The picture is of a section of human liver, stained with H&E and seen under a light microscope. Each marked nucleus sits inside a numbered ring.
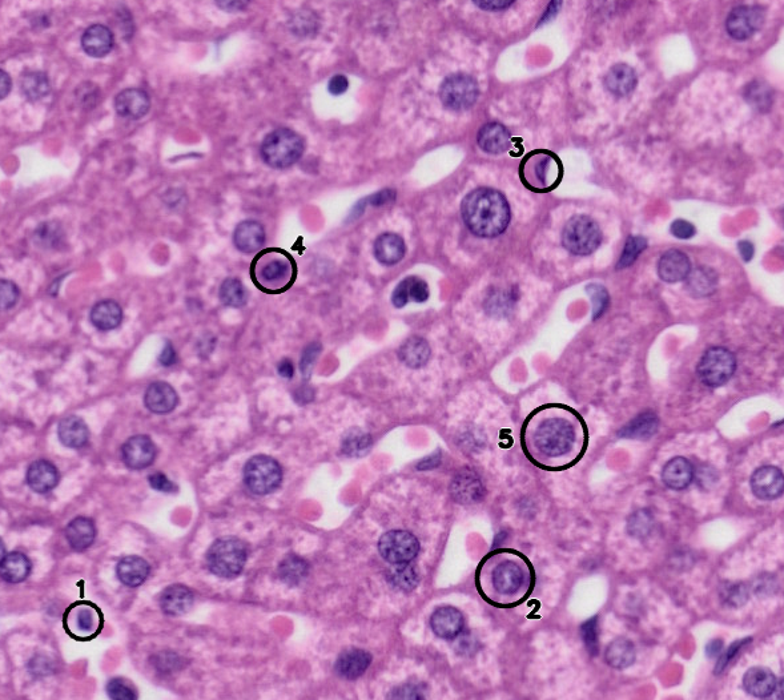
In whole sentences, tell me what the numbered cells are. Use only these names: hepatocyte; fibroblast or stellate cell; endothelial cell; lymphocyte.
Cell 1 is a lymphocyte, cell 2 is a hepatocyte, cell 3 is an endothelial cell, cell 4 is a fibroblast or stellate cell and cell 5 is a hepatocyte.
